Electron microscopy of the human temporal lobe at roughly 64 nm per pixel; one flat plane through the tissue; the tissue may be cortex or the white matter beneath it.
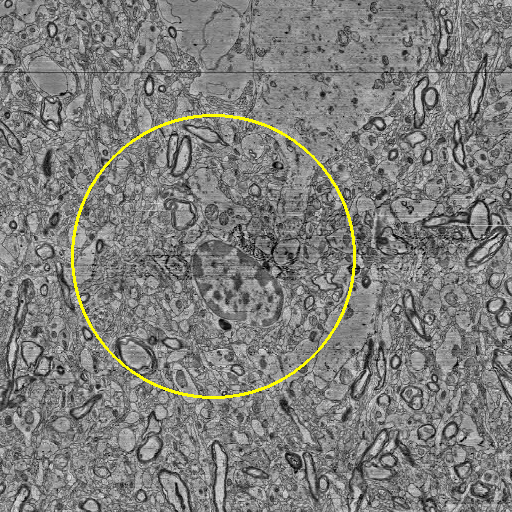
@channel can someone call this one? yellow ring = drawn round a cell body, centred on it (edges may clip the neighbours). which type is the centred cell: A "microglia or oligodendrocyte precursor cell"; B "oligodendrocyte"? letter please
A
